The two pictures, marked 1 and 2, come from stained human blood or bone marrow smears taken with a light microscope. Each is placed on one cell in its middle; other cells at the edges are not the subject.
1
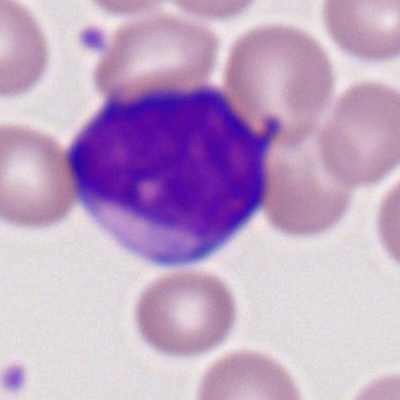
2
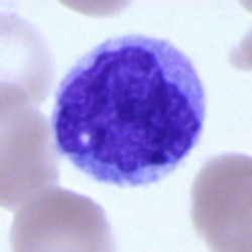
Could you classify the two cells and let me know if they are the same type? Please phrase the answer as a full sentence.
No, crop 1 presents a blast; crop 2 presents a monocyte.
